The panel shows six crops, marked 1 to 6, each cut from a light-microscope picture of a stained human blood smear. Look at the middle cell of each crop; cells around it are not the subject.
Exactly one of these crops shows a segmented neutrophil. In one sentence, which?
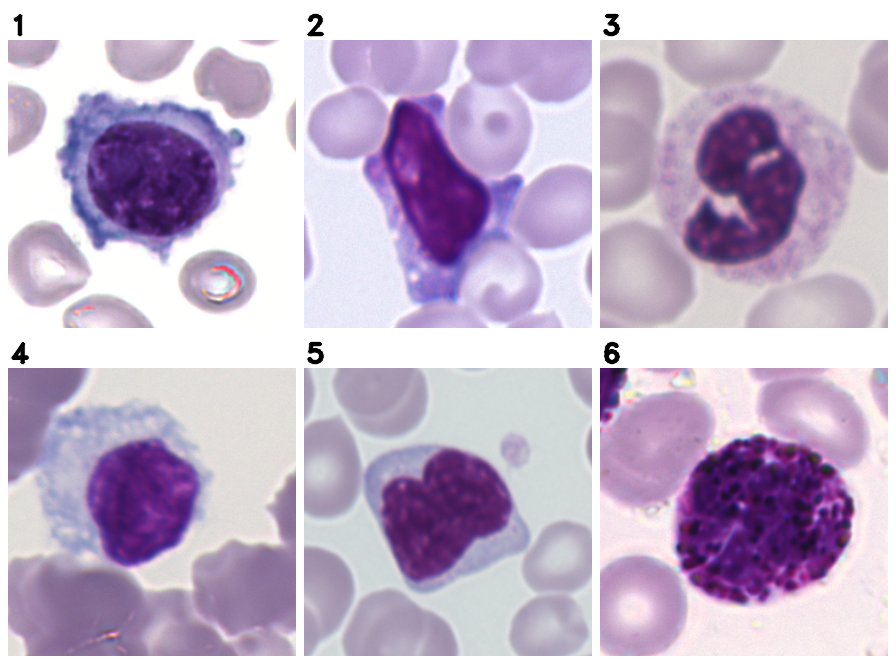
On review of the set, crop 3 is the one showing a segmented neutrophil.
